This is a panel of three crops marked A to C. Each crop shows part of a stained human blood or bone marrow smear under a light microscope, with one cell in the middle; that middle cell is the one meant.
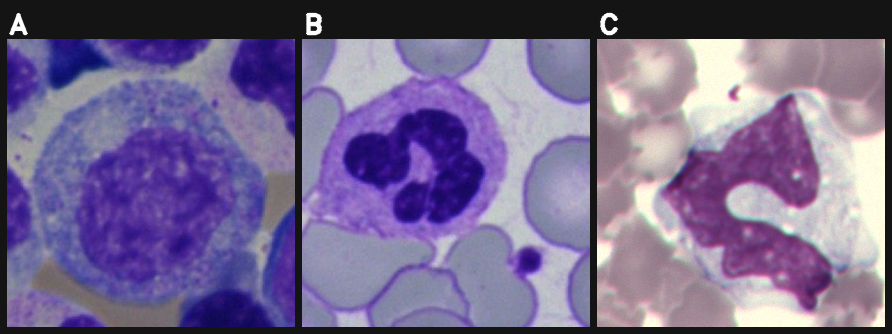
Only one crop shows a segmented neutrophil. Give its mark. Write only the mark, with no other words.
B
